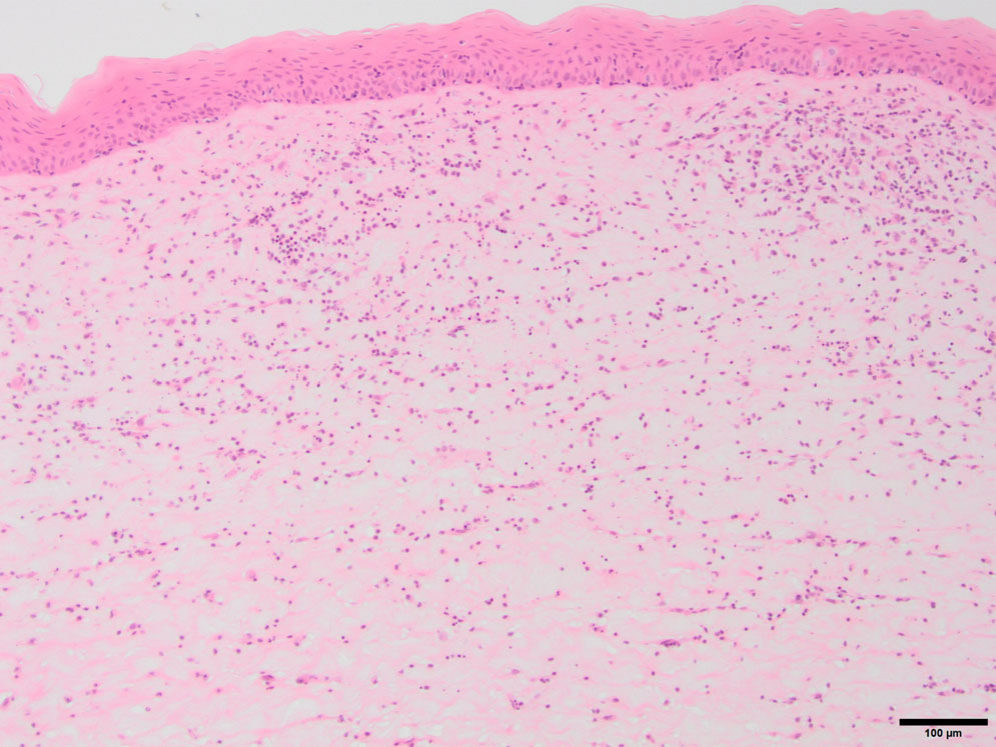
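This section of cornea shows a surface epithelium above a thickened, pale stroma scattered with inflammatory cells. The stroma below is pale pink, with loosely arranged, widely separated wispy fibres and clear spaces between them, consistent with marked oedema. Many small, round, dark purple nuclei of inflammatory cells are scattered diffusely through the stroma. They are densest just beneath the epithelium, where they form small aggregates, most prominently toward the upper right.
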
